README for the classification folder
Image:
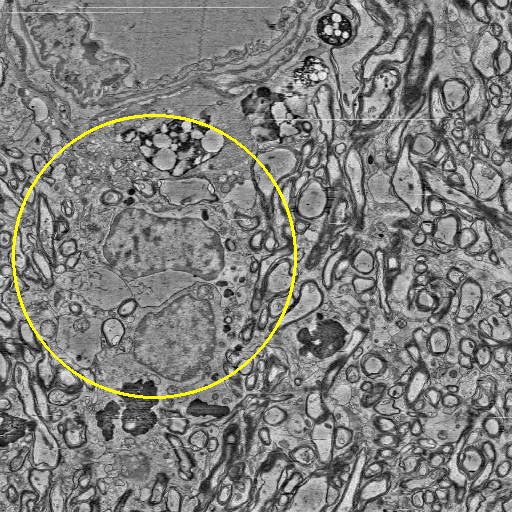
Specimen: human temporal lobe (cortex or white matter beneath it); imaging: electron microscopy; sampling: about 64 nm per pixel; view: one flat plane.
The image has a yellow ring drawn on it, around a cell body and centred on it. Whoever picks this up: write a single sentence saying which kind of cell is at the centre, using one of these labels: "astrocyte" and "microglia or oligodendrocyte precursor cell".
This cell body is that of a microglial cell or oligodendrocyte precursor cell.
